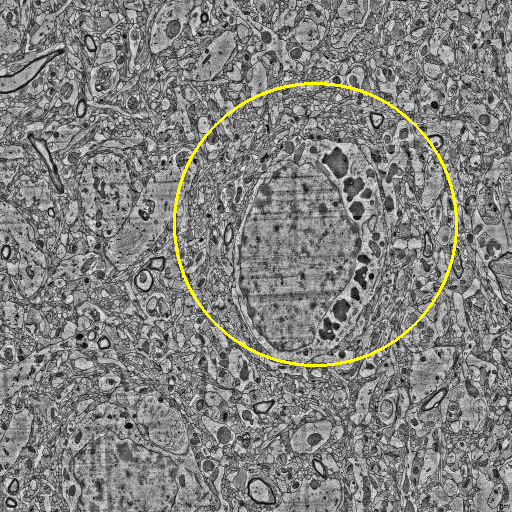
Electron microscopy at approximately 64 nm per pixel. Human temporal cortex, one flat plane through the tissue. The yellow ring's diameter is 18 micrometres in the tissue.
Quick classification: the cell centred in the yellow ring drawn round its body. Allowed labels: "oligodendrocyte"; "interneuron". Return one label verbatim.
interneuron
